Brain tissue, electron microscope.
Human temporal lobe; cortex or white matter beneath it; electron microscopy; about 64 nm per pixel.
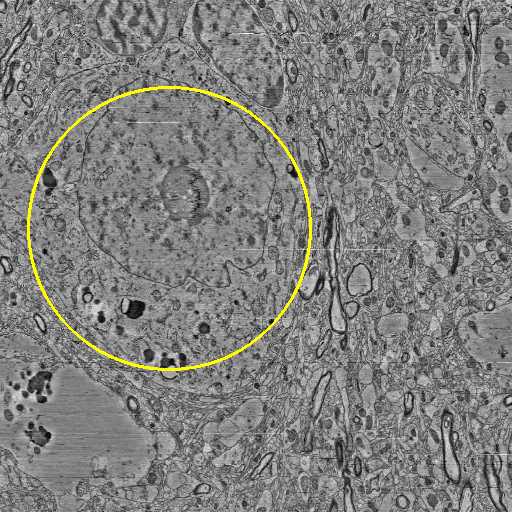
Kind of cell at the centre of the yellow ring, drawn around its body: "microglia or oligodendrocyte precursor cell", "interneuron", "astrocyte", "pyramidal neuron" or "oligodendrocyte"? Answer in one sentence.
The ring's centre falls on a pyramidal neuron.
